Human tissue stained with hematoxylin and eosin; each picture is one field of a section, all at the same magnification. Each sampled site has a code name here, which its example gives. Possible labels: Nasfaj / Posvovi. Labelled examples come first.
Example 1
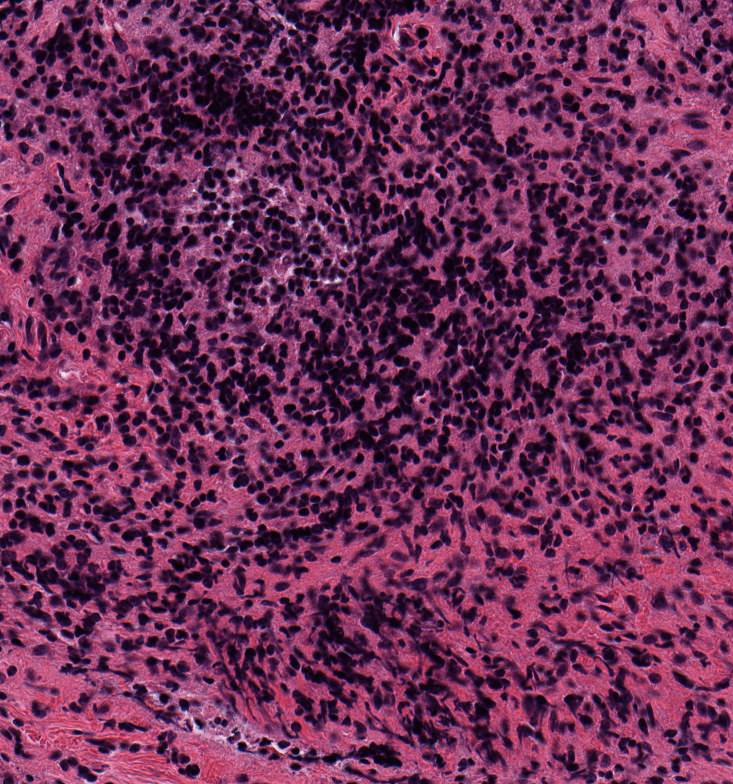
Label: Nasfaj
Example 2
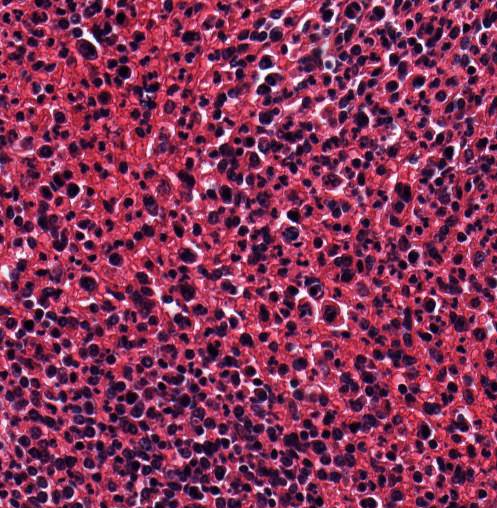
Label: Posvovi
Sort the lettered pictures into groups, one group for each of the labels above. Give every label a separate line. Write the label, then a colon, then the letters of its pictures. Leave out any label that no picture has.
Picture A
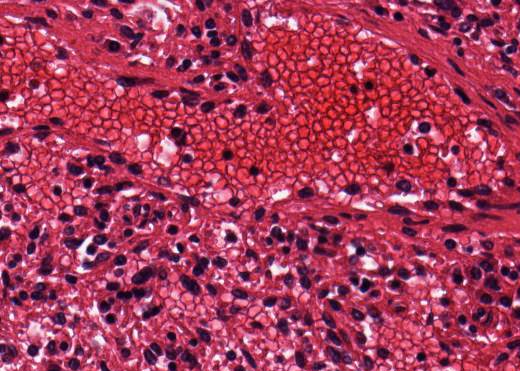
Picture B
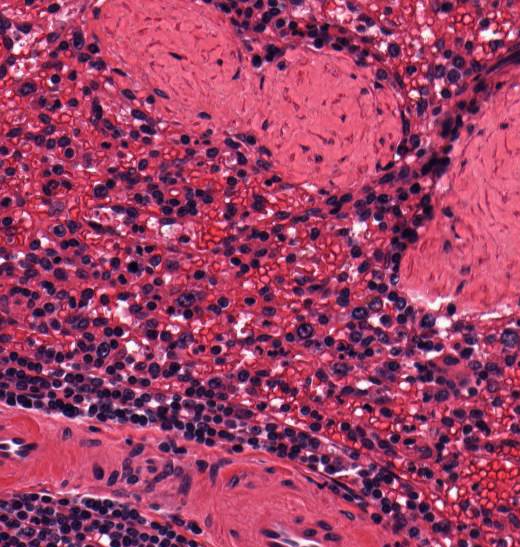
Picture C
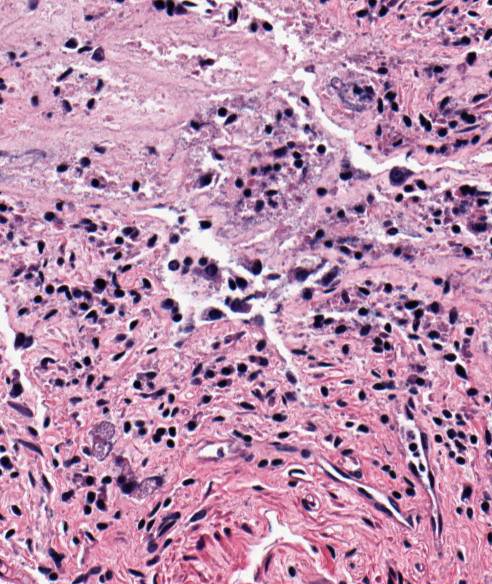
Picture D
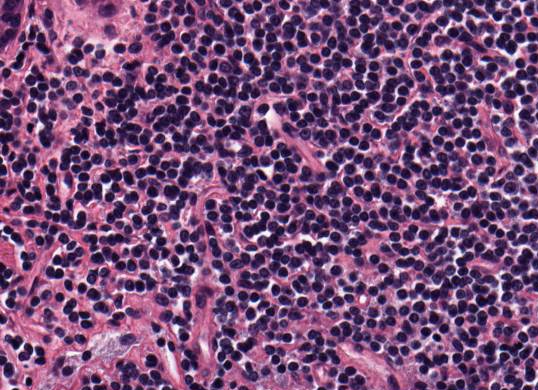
Nasfaj: C, D
Posvovi: A, B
